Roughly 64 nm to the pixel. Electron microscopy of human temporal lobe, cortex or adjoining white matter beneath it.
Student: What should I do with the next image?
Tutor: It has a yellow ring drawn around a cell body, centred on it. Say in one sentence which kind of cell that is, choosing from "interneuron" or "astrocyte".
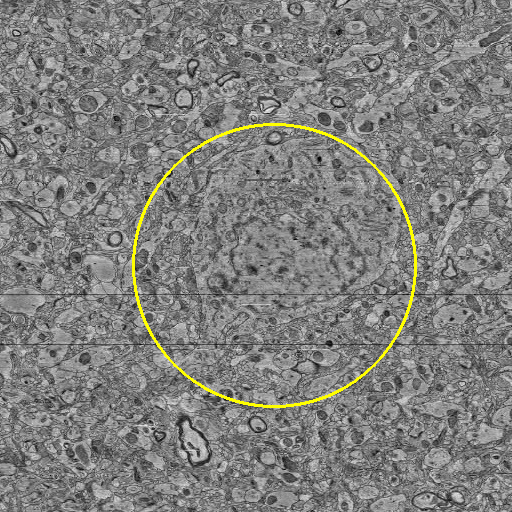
The ring's centre is occupied by an interneuron.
